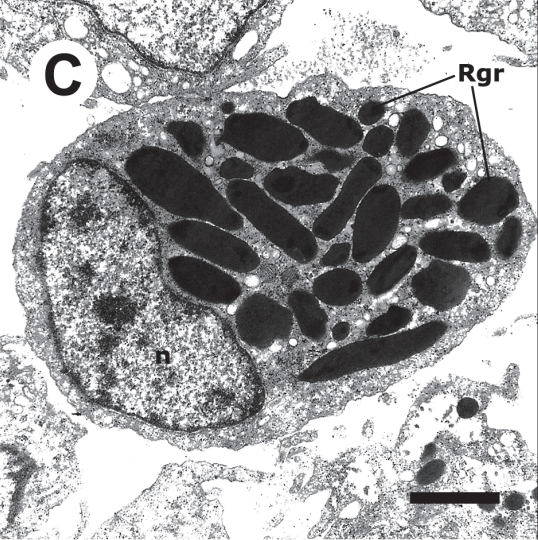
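The nucleus shows finely granular chromatin with a few darker clumps. Most of the cytoplasm is packed with numerous large, very electron-dense granules, oval to elongated in profile and closely crowded together. Small clear vesicles lie scattered between the granules.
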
